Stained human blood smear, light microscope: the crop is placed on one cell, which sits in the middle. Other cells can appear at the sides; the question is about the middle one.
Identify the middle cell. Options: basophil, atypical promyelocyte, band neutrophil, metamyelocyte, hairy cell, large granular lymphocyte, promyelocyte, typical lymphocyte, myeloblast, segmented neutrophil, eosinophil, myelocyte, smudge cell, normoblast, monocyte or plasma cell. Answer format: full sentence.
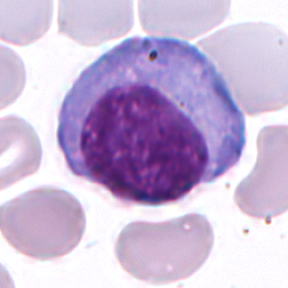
In this crop, the cell at the very middle is a plasma cell.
